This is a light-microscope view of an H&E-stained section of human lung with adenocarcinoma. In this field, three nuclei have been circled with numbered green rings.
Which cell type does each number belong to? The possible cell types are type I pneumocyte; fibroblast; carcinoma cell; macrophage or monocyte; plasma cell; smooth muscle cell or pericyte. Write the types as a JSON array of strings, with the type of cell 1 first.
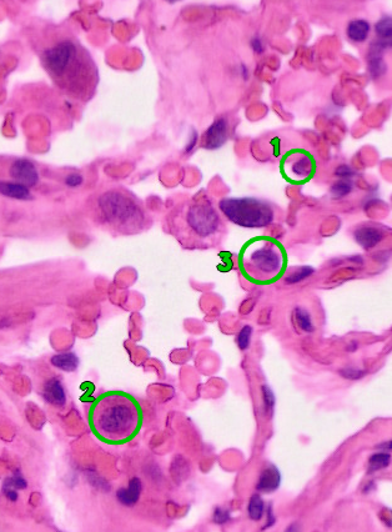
["type I pneumocyte", "macrophage or monocyte", "type I pneumocyte"]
